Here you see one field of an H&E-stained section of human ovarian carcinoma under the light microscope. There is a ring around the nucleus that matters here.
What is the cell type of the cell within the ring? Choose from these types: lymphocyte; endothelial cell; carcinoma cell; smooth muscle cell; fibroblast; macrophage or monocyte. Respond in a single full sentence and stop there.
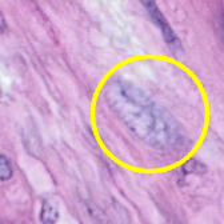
The expected answer is simply that the cell within the ring is a fibroblast.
